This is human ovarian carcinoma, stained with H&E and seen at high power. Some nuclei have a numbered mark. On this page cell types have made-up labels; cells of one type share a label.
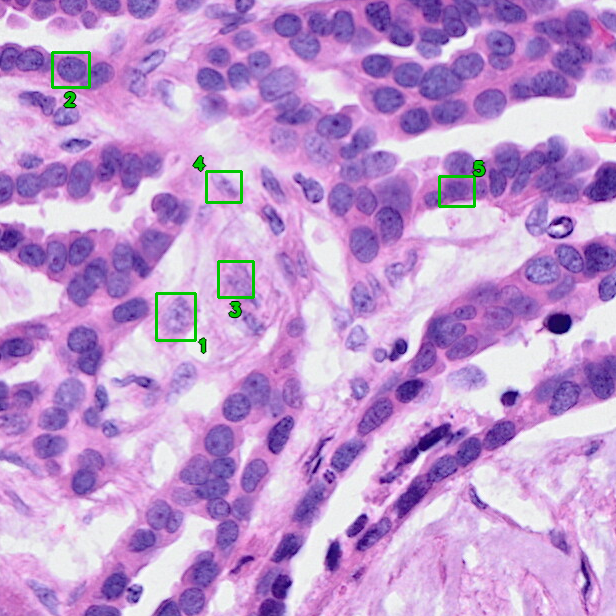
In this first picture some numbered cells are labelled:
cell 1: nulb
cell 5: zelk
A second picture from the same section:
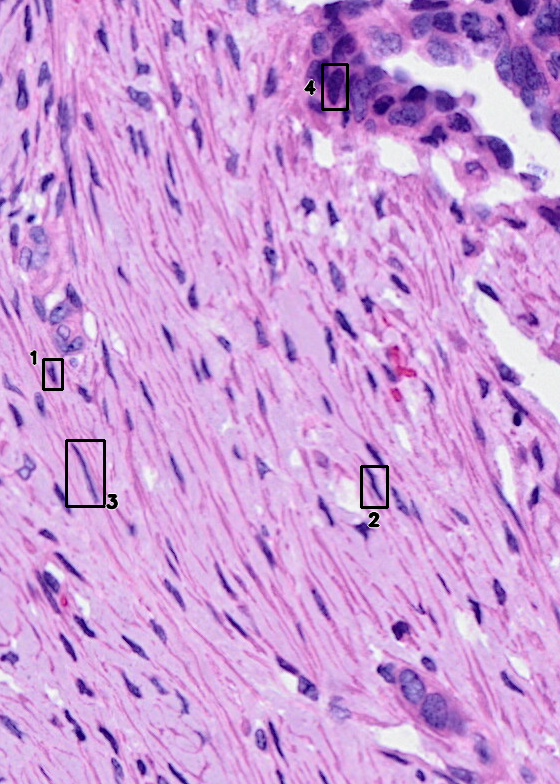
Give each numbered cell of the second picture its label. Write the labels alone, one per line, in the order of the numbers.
nulb
nulb
nulb
zelk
